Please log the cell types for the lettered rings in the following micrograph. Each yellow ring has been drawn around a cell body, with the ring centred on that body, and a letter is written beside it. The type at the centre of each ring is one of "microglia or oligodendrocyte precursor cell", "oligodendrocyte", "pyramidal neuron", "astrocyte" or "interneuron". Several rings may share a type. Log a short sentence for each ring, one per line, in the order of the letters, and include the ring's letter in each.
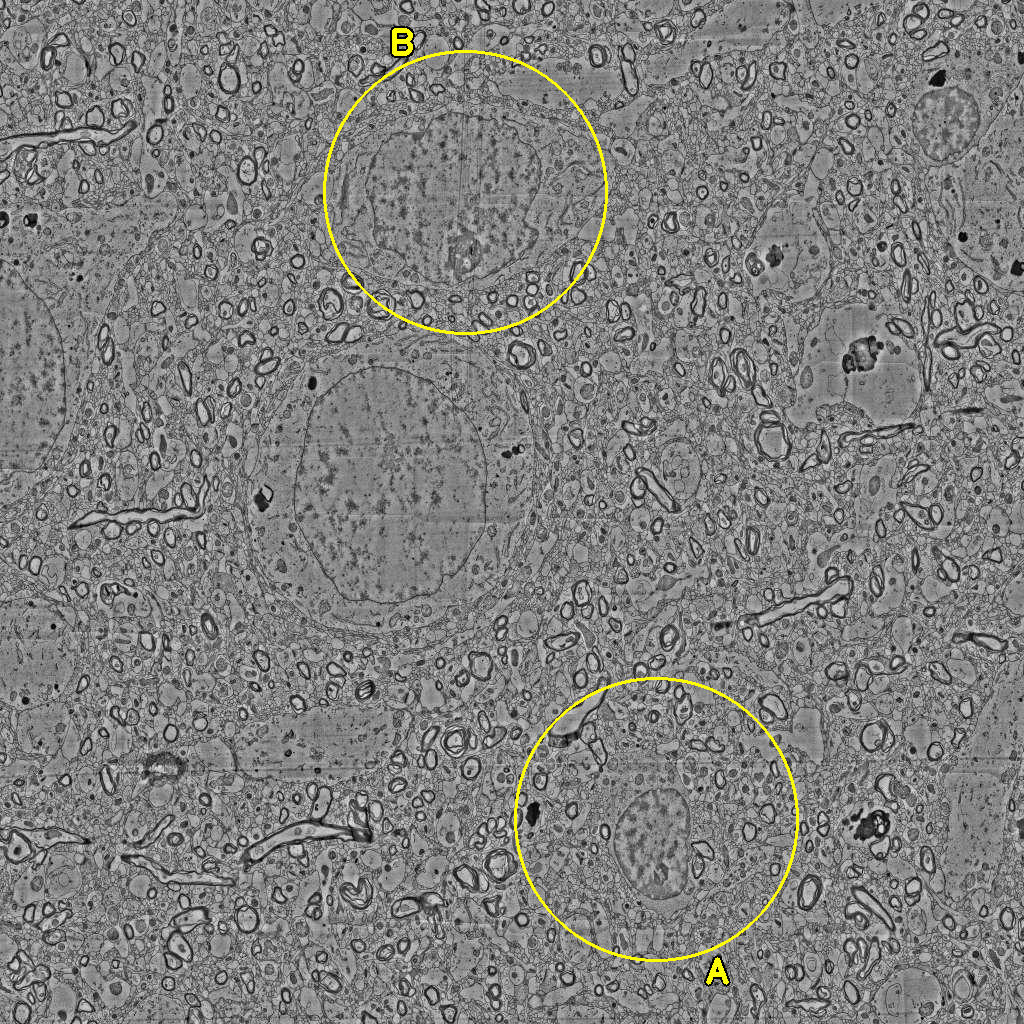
In ring A the central cell is an oligodendrocyte.
In ring B the central cell is an interneuron.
